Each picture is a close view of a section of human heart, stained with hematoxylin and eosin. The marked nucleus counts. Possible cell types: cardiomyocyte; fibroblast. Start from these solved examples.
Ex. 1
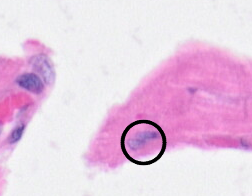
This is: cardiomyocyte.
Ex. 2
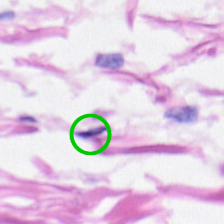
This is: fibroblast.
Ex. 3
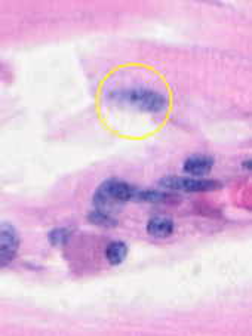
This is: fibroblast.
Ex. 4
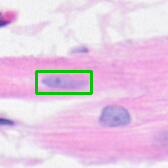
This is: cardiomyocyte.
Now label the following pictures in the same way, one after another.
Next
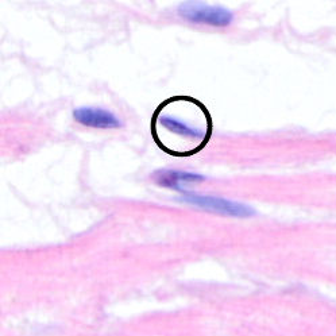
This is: fibroblast.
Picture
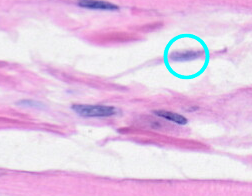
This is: fibroblast.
